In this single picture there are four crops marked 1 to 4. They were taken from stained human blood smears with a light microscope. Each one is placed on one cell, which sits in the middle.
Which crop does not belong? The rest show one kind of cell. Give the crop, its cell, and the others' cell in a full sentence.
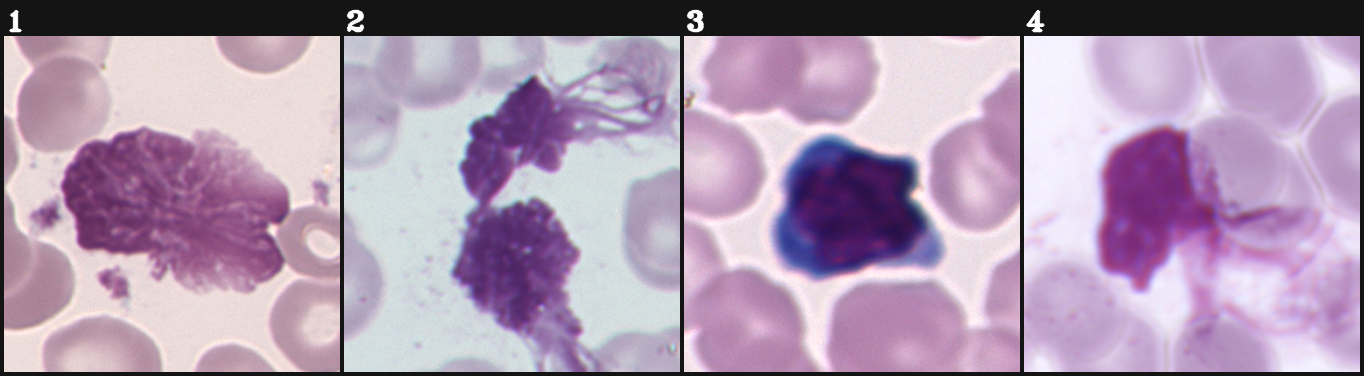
Excluding crop 3, which is a typical lymphocyte, the crops all show smudge cells.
